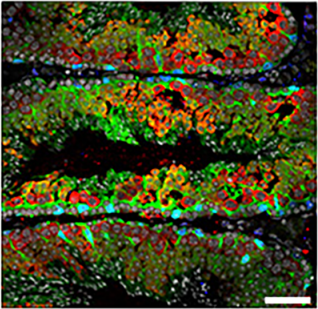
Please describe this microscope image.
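Longitudinal sections of several seminiferous tubules lying side by side, separated by narrow strips of interstitial tissue. Green cytoplasmic columns reach from the base toward the elongated lumens between red germ cells, and the blue-tinged nuclei lie along the basal edge.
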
